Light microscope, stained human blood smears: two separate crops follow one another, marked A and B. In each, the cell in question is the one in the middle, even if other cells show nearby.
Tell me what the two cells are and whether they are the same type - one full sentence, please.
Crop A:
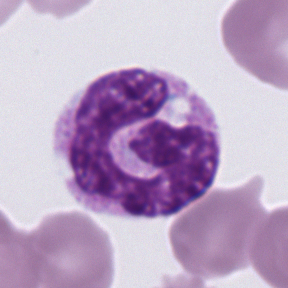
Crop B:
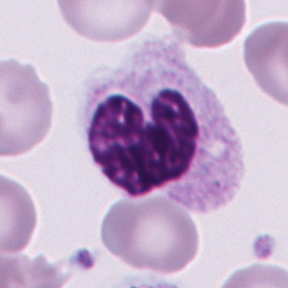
Yes, segmented neutrophils are centred in both crops.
